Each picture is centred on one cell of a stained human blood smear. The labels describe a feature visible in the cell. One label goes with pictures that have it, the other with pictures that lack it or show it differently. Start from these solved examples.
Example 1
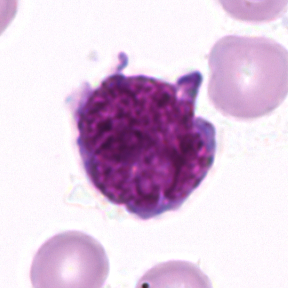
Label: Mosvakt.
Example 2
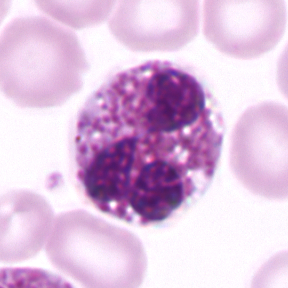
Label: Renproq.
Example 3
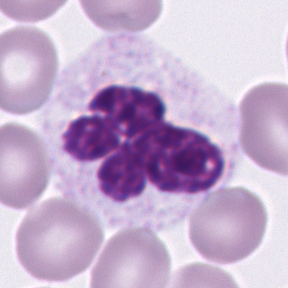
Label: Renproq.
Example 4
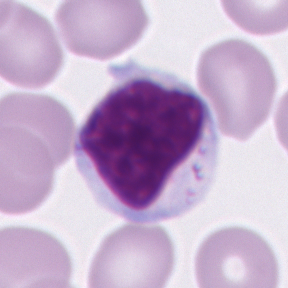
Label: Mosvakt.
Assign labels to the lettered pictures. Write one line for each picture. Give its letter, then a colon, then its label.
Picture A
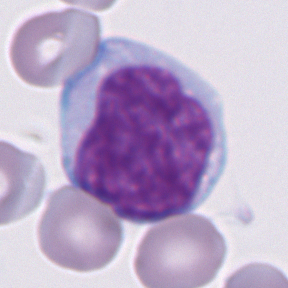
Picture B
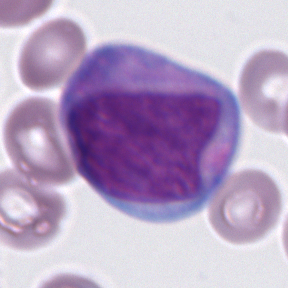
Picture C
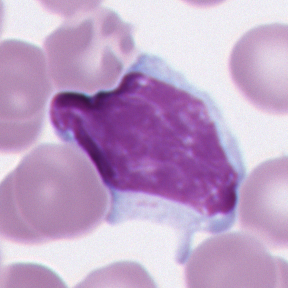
A: Renproq.
B: Renproq.
C: Mosvakt.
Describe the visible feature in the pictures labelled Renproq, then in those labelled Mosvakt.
In Renproq: smooth outline. In Mosvakt: ragged outline or projections.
